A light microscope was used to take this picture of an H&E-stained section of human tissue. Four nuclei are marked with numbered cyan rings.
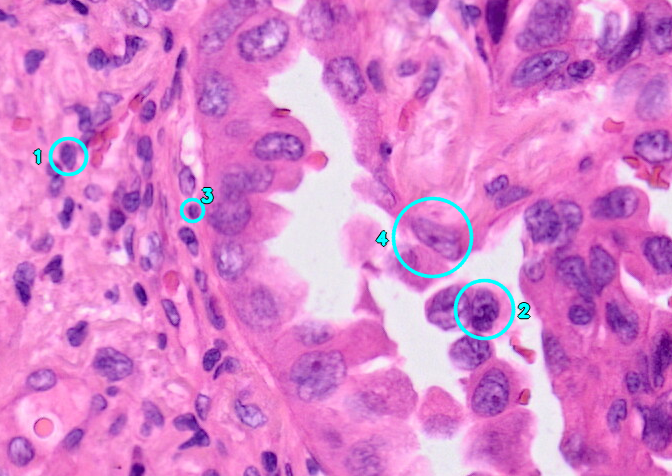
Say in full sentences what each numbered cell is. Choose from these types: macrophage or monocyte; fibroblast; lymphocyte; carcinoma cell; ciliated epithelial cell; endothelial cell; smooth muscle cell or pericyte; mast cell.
Cell 1 is a lymphocyte, cell 2 is a carcinoma cell, cell 3 is a lymphocyte and cell 4 is a carcinoma cell.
